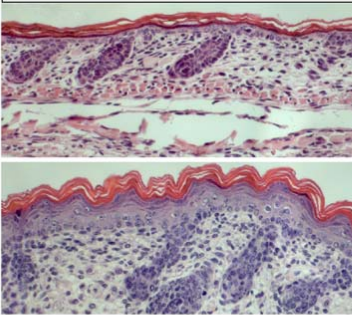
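Two sections of skin, stained pink and purple, are stacked one above the other. Each shows an epidermis capped by a wavy, bright pink cornified layer, with hair follicle profiles and loosely packed cells in the dermis below. In the upper section, the nucleated epidermis beneath the cornified layer is thin, only a few cells deep. Plump follicle buds push into the dermis, and a pale cleft runs through the deeper tissue. In the lower section, several more layers of cells lie between the basal row and the cornified layer. This is a stratified epidermis.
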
